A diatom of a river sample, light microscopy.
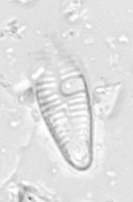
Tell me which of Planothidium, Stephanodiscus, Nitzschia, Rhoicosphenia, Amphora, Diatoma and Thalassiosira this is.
The picture shows Planothidium.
